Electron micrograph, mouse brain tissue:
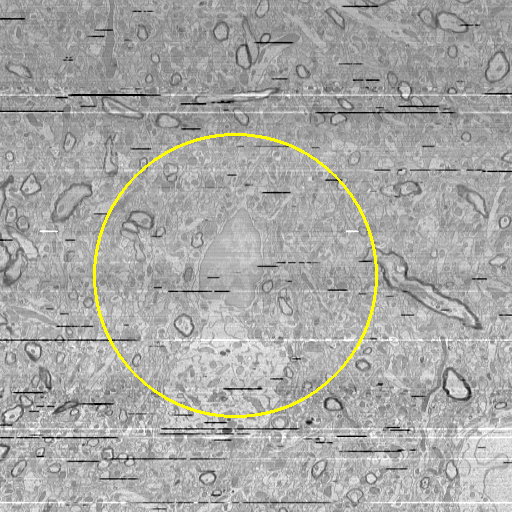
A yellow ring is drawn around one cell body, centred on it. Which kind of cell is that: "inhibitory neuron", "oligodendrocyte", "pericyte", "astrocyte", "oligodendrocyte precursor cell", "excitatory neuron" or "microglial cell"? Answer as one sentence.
It is a microglial cell at the centre of the ring.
